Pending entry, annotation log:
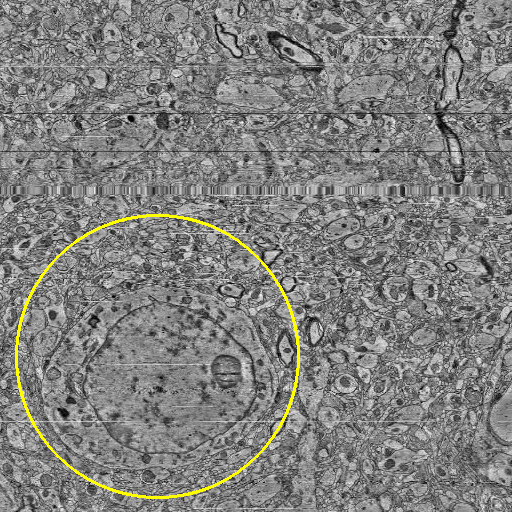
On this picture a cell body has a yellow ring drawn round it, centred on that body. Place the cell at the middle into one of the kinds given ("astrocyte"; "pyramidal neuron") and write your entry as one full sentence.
The cell body at the middle of the yellow ring belongs to a pyramidal neuron.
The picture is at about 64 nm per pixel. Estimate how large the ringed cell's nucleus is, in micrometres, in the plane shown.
In this plane the nucleus measures roughly 11 micrometres across.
